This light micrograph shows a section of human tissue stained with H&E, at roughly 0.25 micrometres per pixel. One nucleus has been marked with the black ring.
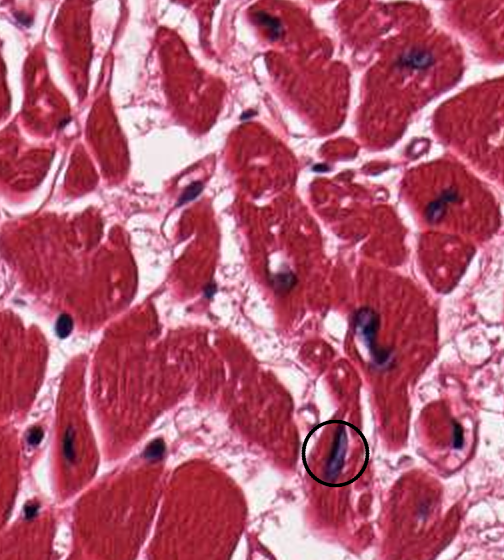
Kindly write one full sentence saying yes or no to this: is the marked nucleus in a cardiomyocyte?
Yes, what is marked here is the nucleus of a cardiomyocyte.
